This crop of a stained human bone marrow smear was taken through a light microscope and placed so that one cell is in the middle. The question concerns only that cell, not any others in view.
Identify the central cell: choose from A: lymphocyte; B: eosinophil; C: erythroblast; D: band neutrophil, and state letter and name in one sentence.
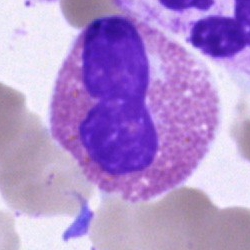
The centered cell is an eosinophil, which is why option B is right.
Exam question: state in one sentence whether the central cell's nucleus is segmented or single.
You can count two or more lobes in this nucleus.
